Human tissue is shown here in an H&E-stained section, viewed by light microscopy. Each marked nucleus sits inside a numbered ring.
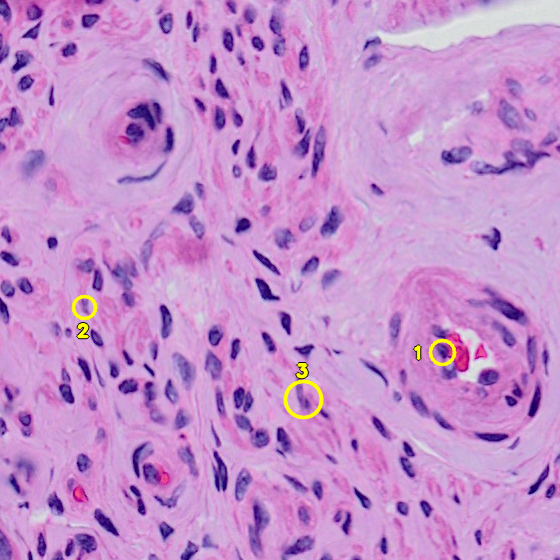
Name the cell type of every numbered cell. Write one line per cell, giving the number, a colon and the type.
1: endothelial cell
2: smooth muscle cell
3: smooth muscle cell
